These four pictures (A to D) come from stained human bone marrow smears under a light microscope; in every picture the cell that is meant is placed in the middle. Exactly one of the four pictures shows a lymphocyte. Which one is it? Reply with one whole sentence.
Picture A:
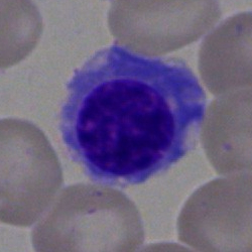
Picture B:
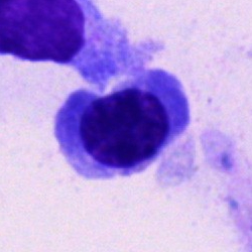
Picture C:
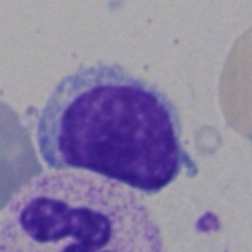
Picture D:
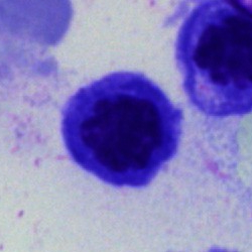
It is picture C that shows the lymphocyte.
